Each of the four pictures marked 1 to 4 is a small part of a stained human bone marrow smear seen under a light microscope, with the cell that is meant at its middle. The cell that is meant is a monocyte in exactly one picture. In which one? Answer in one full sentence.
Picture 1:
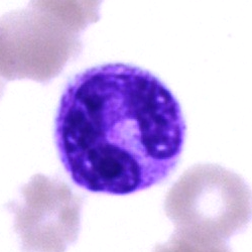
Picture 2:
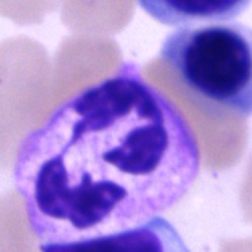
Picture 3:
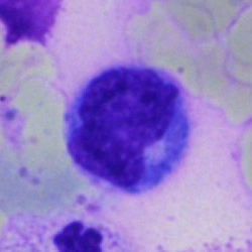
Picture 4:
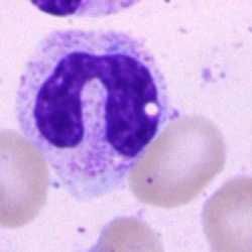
The picture with the monocyte is 3.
